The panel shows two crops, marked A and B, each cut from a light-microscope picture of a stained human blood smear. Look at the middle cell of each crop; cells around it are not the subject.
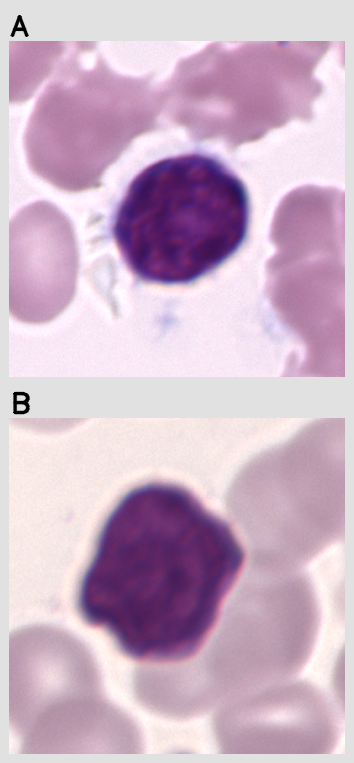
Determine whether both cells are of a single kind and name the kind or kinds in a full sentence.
No, crop A shows a hairy cell, and crop B, by contrast, shows a smudge cell.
